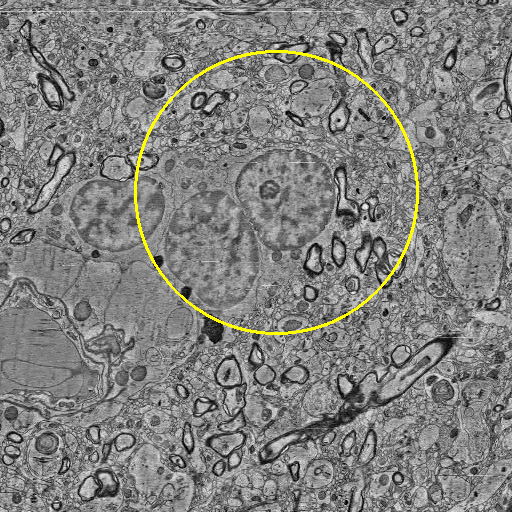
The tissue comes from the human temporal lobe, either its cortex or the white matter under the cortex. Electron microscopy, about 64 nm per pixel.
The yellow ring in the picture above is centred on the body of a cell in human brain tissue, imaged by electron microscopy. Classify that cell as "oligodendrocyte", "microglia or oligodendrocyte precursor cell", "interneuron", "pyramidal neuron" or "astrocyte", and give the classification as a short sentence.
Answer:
The cell in the middle of the ring is an oligodendrocyte.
